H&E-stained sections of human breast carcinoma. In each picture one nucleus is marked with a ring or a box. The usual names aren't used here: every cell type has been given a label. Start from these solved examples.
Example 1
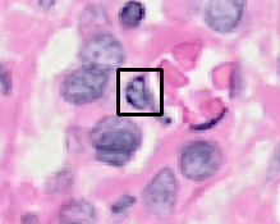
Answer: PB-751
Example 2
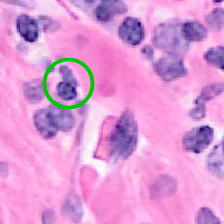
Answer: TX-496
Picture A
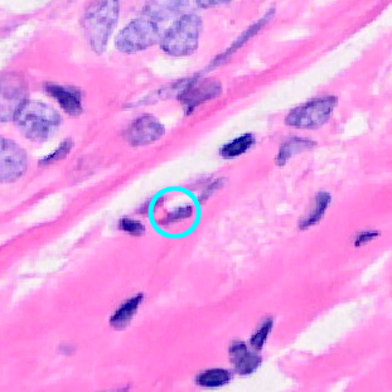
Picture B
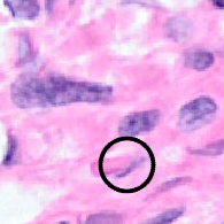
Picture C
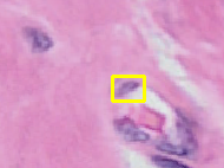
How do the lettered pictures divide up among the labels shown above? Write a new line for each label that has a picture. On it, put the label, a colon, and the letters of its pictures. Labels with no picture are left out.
PB-751: A, B, C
